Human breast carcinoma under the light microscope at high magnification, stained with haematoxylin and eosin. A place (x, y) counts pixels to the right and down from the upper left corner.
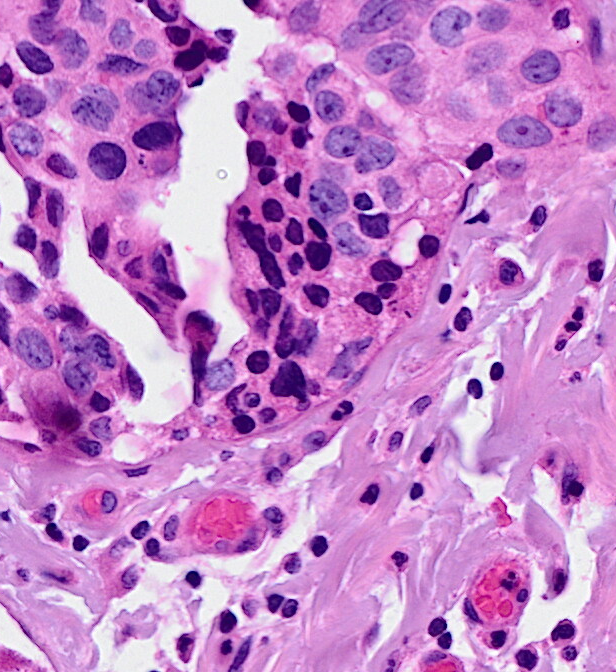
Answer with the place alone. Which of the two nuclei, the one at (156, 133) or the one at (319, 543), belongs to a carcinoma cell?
(156, 133)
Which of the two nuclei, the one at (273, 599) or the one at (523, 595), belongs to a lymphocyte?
(273, 599)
